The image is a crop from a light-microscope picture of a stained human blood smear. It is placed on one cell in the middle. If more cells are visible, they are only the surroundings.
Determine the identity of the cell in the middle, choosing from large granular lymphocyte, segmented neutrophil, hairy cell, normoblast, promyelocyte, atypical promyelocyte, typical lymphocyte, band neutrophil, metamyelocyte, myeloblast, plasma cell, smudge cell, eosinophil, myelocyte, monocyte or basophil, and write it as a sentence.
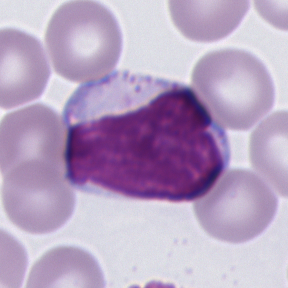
The cell positioned in the middle of the field is a large granular lymphocyte.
